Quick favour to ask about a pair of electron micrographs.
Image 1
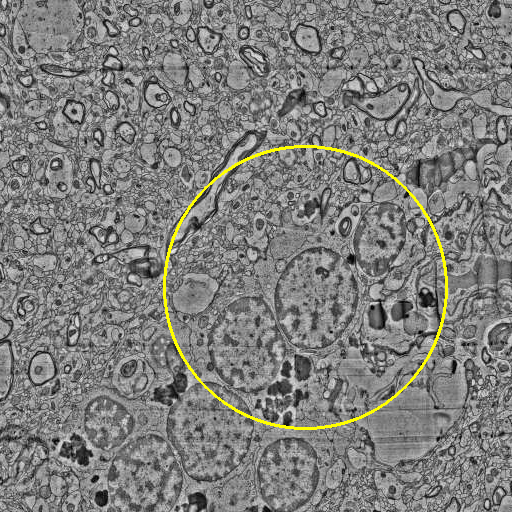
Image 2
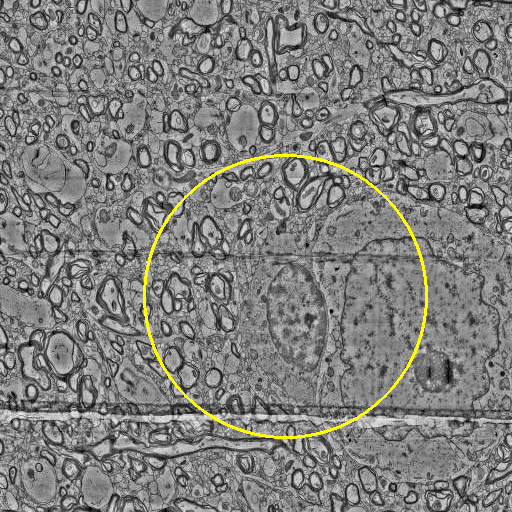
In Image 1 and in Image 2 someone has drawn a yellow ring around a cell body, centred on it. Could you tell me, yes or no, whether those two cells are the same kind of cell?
yes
